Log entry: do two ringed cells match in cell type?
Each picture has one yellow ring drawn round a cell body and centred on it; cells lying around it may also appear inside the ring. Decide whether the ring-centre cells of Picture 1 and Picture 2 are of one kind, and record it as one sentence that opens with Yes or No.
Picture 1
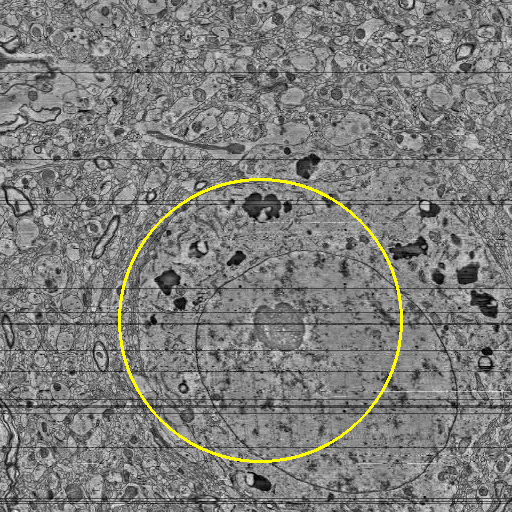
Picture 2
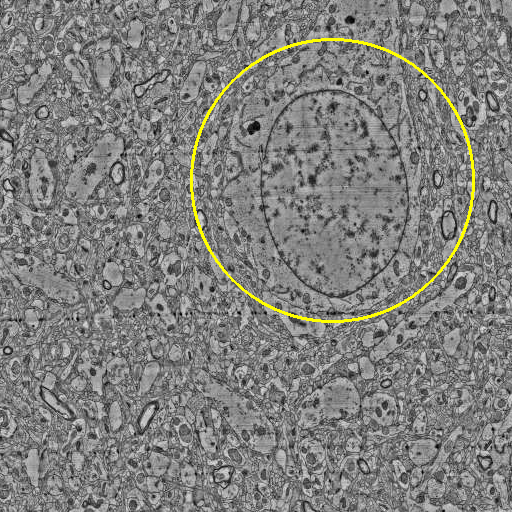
Yes, the cells at the ring centres of the two pictures belong to one kind.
